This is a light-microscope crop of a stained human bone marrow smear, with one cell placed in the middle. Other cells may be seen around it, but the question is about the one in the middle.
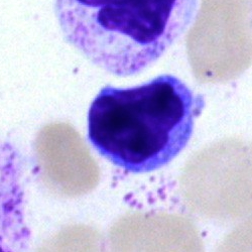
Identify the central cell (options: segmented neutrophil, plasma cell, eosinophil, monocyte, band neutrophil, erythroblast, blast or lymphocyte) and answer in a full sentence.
Occupying the centre of the crop is a lymphocyte.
